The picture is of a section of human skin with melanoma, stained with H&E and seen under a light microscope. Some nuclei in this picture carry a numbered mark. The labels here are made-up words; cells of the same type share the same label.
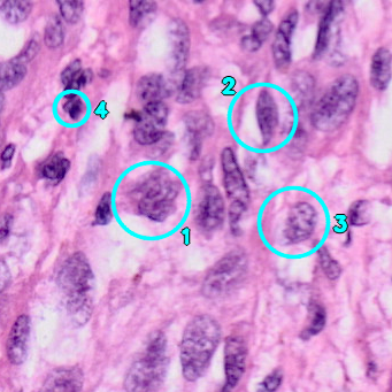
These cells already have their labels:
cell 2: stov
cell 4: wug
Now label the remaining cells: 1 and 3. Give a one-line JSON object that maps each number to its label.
{"1": "stov", "3": "stov"}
